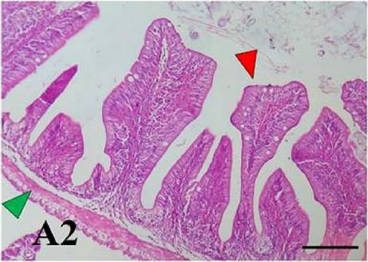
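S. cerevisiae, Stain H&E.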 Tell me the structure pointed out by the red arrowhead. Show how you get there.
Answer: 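Tall mucosal folds project into the lumen. The folds are lined by columnar epithelium.
Intestinal villi.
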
